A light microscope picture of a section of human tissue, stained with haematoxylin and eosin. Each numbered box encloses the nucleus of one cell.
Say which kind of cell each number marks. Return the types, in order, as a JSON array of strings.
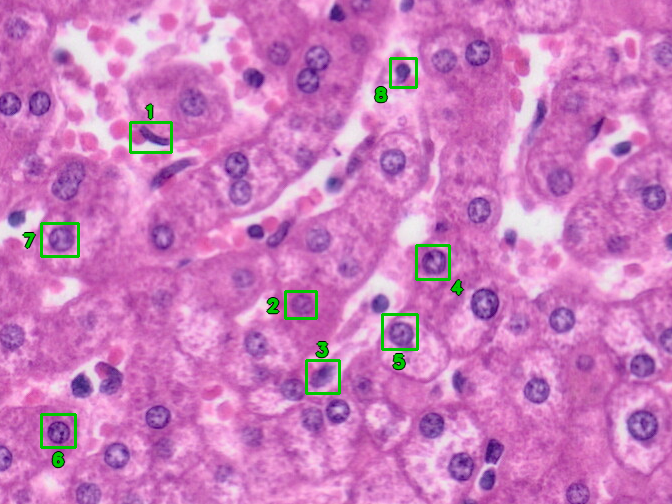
["endothelial cell", "hepatocyte", "Kupffer cell", "hepatocyte", "hepatocyte", "hepatocyte", "hepatocyte", "lymphocyte"]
